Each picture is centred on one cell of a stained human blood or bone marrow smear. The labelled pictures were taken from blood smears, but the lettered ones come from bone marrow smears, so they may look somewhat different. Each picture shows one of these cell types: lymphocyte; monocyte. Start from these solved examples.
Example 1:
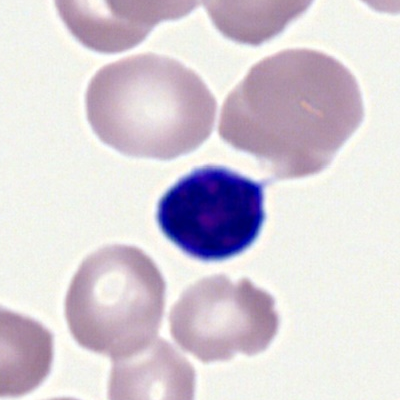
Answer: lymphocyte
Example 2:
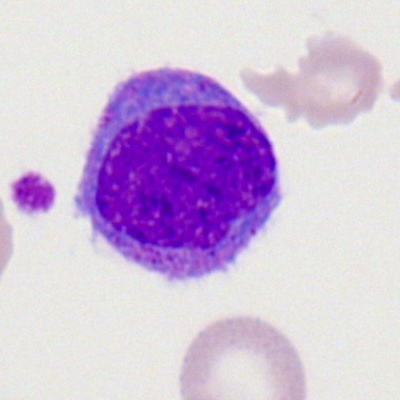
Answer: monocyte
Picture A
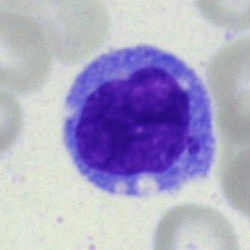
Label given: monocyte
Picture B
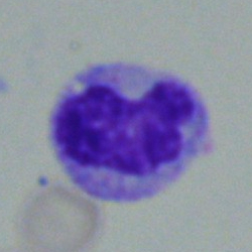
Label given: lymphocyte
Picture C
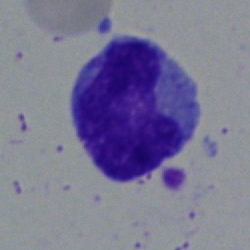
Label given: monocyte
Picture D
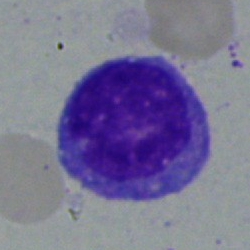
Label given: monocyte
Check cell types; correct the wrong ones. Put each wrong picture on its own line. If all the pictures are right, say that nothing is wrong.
B: change lymphocyte to monocyte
